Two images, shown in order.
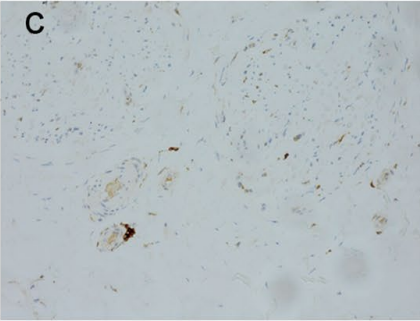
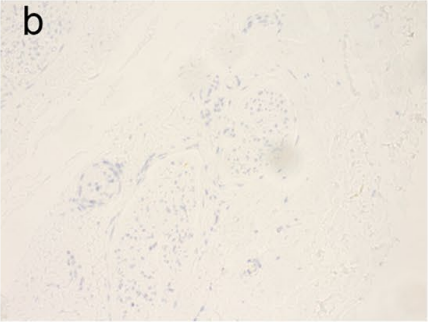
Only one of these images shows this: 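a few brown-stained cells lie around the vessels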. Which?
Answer: The first image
